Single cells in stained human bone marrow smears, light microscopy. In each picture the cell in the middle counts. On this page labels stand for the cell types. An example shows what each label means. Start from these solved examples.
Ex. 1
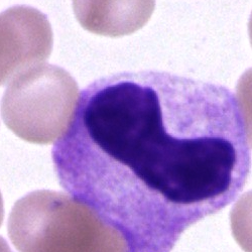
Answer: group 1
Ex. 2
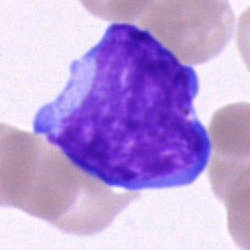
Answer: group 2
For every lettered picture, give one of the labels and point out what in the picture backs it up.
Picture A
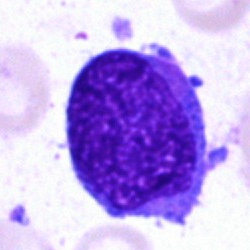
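group 2. Evidence: The cytoplasm forms a narrow blue rim around the nucleus.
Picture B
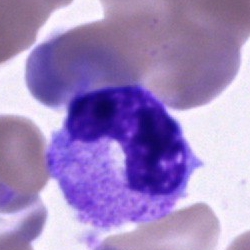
group 1. Evidence: Fine purple granules are scattered throughout the cytoplasm.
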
